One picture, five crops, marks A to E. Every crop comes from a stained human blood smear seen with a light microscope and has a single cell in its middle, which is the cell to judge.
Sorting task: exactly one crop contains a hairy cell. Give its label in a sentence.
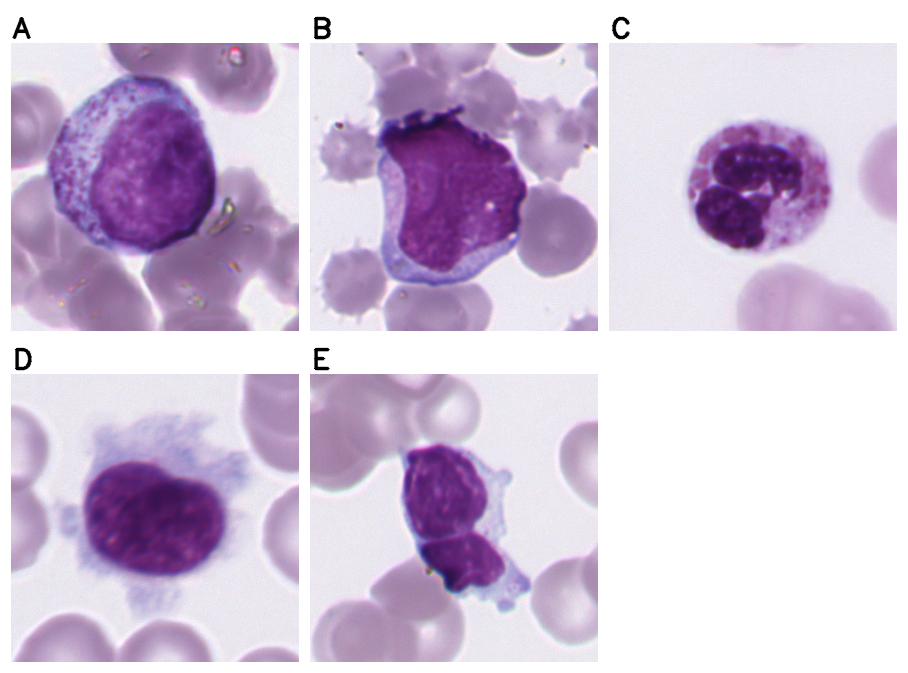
Selected crop: D, which is the one that shows a hairy cell.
